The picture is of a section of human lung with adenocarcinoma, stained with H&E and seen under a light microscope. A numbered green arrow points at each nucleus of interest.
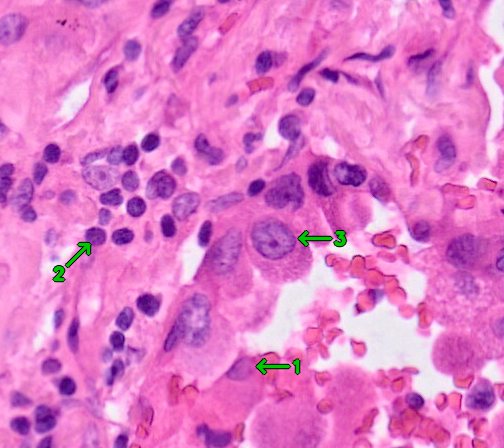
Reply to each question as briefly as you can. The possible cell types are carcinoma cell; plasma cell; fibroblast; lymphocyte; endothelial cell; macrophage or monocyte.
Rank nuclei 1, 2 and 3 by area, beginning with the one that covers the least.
2, 1, 3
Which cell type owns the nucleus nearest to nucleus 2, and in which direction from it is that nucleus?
a lymphocyte; to the right of nucleus 2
